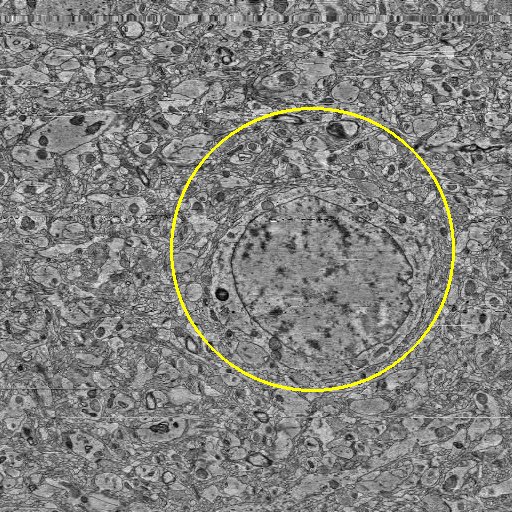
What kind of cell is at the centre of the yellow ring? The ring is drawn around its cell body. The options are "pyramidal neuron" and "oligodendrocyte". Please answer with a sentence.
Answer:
The yellow ring marks the cell body of a pyramidal neuron.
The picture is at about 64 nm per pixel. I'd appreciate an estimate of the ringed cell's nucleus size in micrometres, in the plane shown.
The nucleus of the ringed cell is approximately 12 by 10 micrometres in this plane.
